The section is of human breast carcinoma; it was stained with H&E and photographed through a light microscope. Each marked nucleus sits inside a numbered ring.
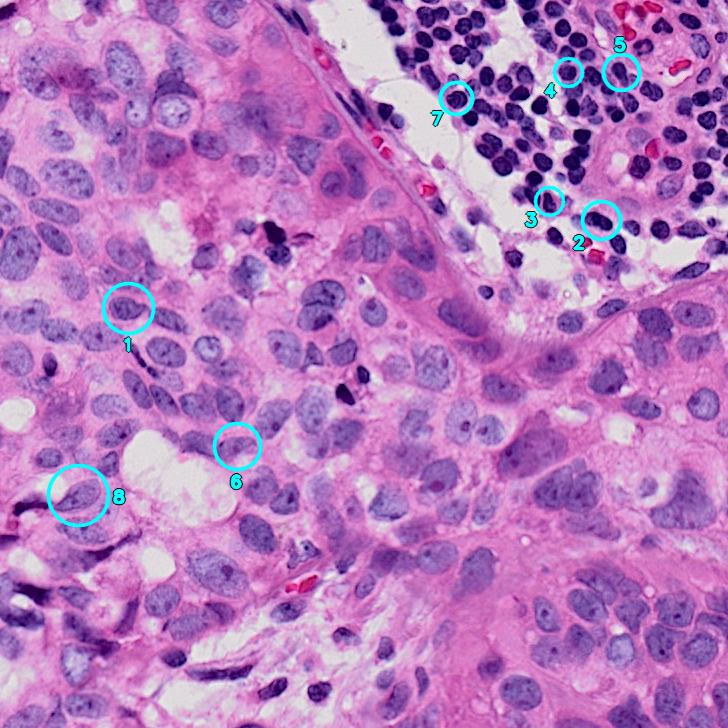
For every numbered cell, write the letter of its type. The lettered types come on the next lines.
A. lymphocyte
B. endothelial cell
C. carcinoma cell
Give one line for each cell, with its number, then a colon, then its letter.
1: C
2: A
3: A
4: A
5: A
6: C
7: A
8: C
